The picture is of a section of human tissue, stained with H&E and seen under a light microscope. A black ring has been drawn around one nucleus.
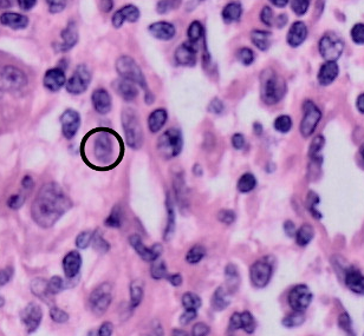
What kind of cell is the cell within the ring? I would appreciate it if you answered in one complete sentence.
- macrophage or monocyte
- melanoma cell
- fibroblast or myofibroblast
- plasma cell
Placed in its cell category, the cell within the ring is a macrophage or monocyte.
